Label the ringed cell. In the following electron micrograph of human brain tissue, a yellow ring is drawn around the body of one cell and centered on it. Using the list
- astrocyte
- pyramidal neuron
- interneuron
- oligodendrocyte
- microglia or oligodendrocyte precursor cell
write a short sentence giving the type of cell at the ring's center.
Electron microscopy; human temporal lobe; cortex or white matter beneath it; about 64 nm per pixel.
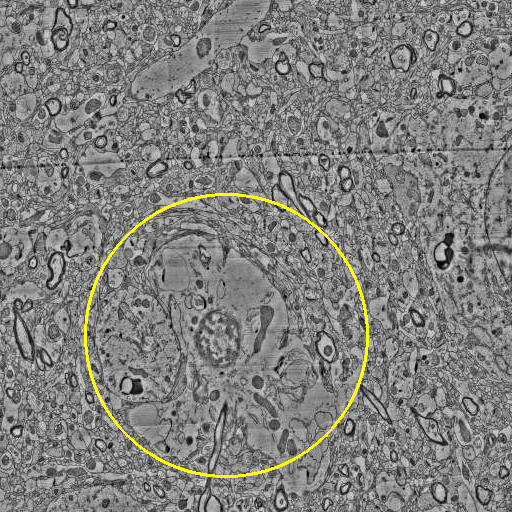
The cell body at the ring's center is that of an astrocyte.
